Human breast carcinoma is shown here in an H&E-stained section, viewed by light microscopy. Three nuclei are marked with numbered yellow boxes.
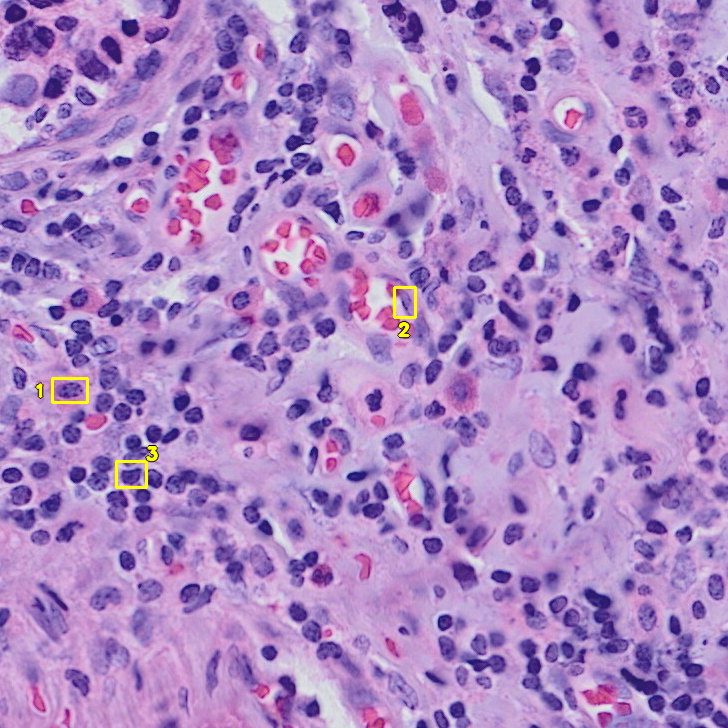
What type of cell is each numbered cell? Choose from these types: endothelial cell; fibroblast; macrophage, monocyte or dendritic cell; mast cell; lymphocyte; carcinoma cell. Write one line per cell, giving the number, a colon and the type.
1: mast cell
2: endothelial cell
3: lymphocyte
